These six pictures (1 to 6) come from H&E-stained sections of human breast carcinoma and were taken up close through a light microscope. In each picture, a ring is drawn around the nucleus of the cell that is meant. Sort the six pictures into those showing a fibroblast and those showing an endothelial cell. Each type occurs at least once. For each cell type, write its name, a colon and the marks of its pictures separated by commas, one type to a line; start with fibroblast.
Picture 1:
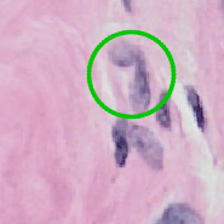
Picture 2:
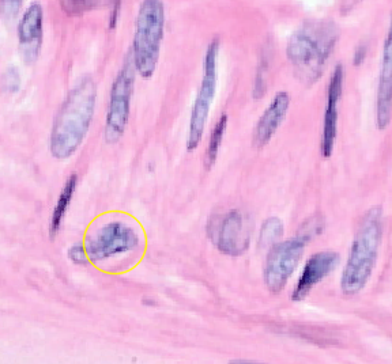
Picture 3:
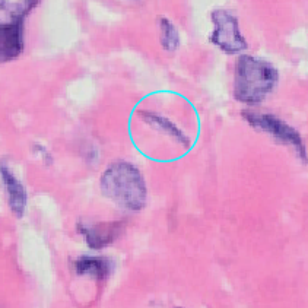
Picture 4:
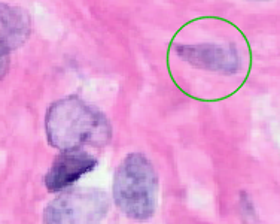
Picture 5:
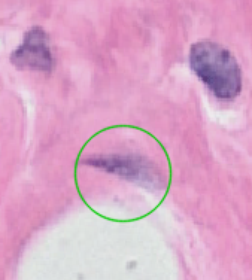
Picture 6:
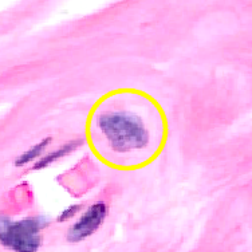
fibroblast: 3, 4, 5
endothelial cell: 1, 2, 6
